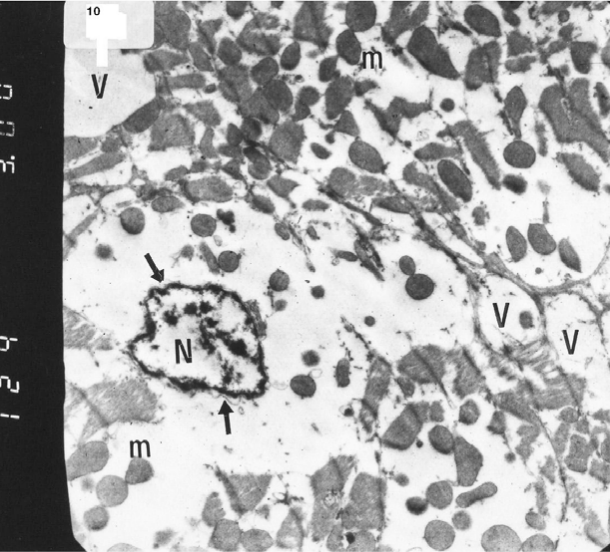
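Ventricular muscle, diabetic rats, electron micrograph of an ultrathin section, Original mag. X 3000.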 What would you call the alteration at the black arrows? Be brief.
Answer: irregular nuclear outline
